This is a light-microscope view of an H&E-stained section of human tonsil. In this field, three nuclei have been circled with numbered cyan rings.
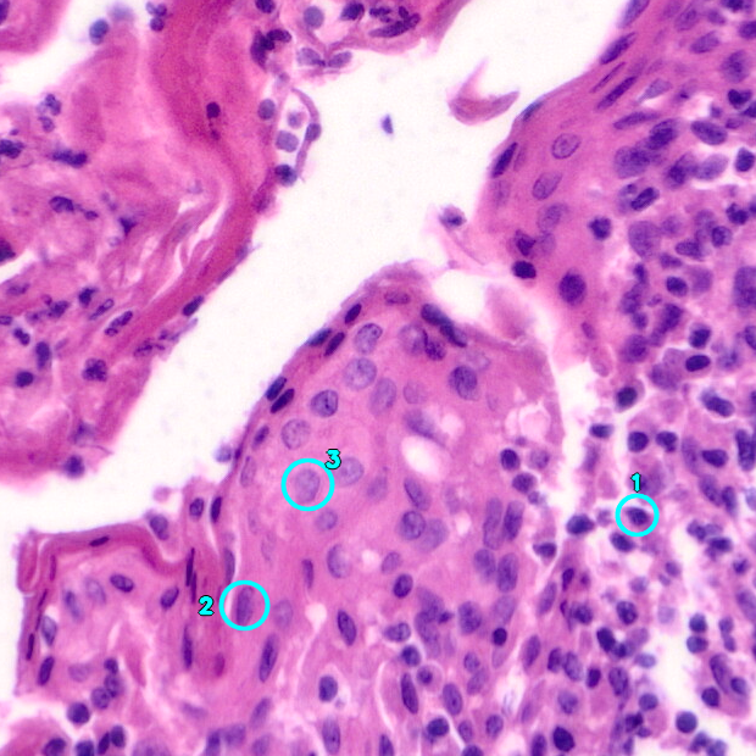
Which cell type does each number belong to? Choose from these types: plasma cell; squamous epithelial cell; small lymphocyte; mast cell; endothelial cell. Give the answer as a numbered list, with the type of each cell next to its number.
1. plasma cell
2. squamous epithelial cell
3. squamous epithelial cell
